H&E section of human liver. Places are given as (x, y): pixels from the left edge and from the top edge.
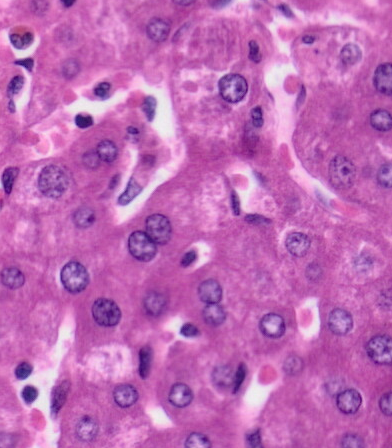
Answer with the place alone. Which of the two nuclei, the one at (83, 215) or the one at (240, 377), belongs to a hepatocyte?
(83, 215)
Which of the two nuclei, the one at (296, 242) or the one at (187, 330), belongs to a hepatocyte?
(296, 242)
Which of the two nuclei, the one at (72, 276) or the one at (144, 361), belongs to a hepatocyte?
(72, 276)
